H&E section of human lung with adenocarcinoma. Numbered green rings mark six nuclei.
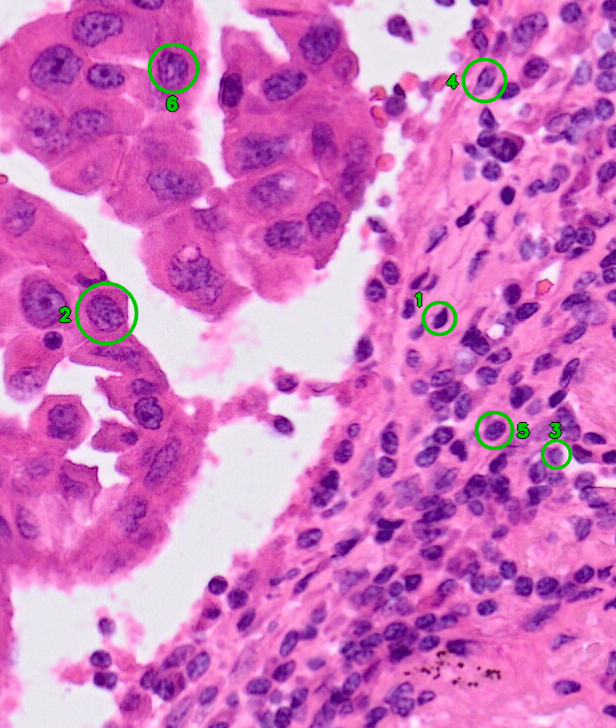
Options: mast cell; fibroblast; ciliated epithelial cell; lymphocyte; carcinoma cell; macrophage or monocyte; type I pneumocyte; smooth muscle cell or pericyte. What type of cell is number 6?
carcinoma cell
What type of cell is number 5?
lymphocyte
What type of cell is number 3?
lymphocyte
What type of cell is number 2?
carcinoma cell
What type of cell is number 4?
lymphocyte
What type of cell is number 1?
lymphocyte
